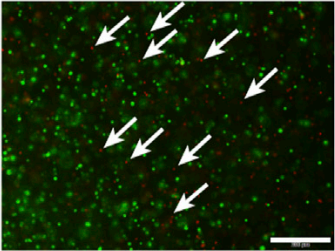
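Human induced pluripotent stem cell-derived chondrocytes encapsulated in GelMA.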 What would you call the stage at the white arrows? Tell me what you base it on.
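Dead cells. Small red dots lie at the tips of the white arrows. Most other cells in the field are green.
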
